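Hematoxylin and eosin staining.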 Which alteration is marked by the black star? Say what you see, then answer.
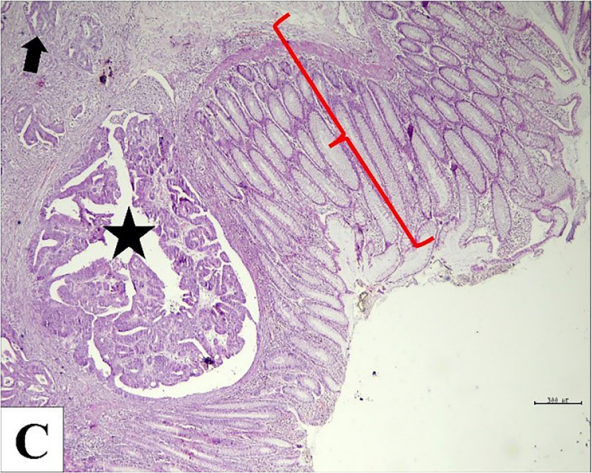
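Cancer tissue with irregular gland structures. A rounded nest of irregular, branching glands with dark crowded nuclei. These glands lack the orderly crypt arrangement of the tissue beside them.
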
